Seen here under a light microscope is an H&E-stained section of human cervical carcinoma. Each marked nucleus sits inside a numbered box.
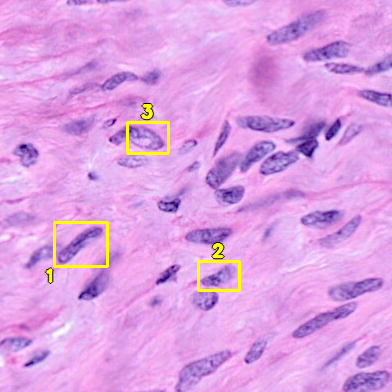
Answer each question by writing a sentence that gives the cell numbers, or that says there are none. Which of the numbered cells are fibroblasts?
The cells tagged with numbers 1 and 2 are fibroblasts.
